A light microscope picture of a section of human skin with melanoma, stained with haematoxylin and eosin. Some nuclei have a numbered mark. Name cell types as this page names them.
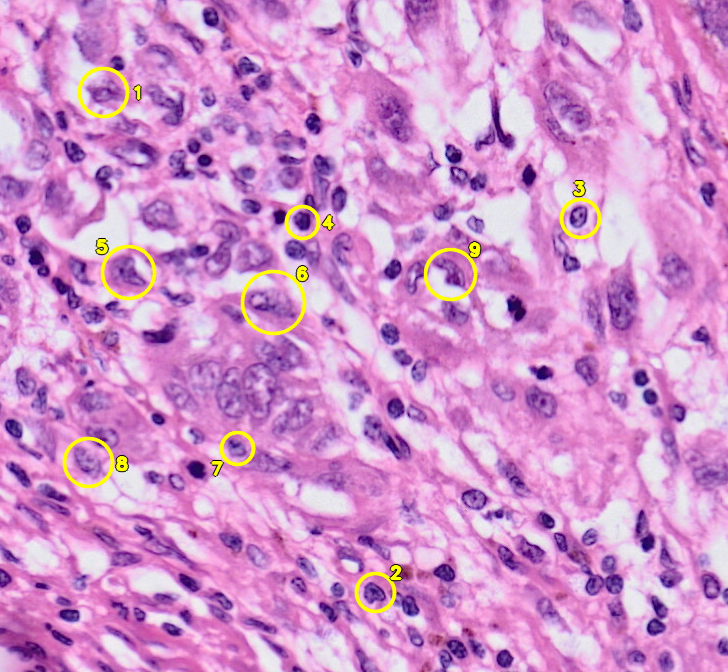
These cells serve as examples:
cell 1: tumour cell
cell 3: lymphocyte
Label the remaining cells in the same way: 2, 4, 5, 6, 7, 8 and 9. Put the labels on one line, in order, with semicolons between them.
lymphocyte; lymphocyte; tumour cell; tumour cell; lymphocyte; tumour cell; tumour cell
